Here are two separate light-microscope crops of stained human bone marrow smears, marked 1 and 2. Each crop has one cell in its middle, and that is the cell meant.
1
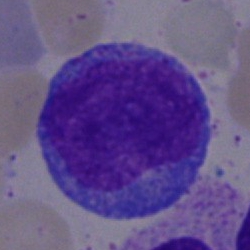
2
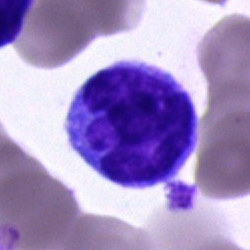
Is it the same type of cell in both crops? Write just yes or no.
no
